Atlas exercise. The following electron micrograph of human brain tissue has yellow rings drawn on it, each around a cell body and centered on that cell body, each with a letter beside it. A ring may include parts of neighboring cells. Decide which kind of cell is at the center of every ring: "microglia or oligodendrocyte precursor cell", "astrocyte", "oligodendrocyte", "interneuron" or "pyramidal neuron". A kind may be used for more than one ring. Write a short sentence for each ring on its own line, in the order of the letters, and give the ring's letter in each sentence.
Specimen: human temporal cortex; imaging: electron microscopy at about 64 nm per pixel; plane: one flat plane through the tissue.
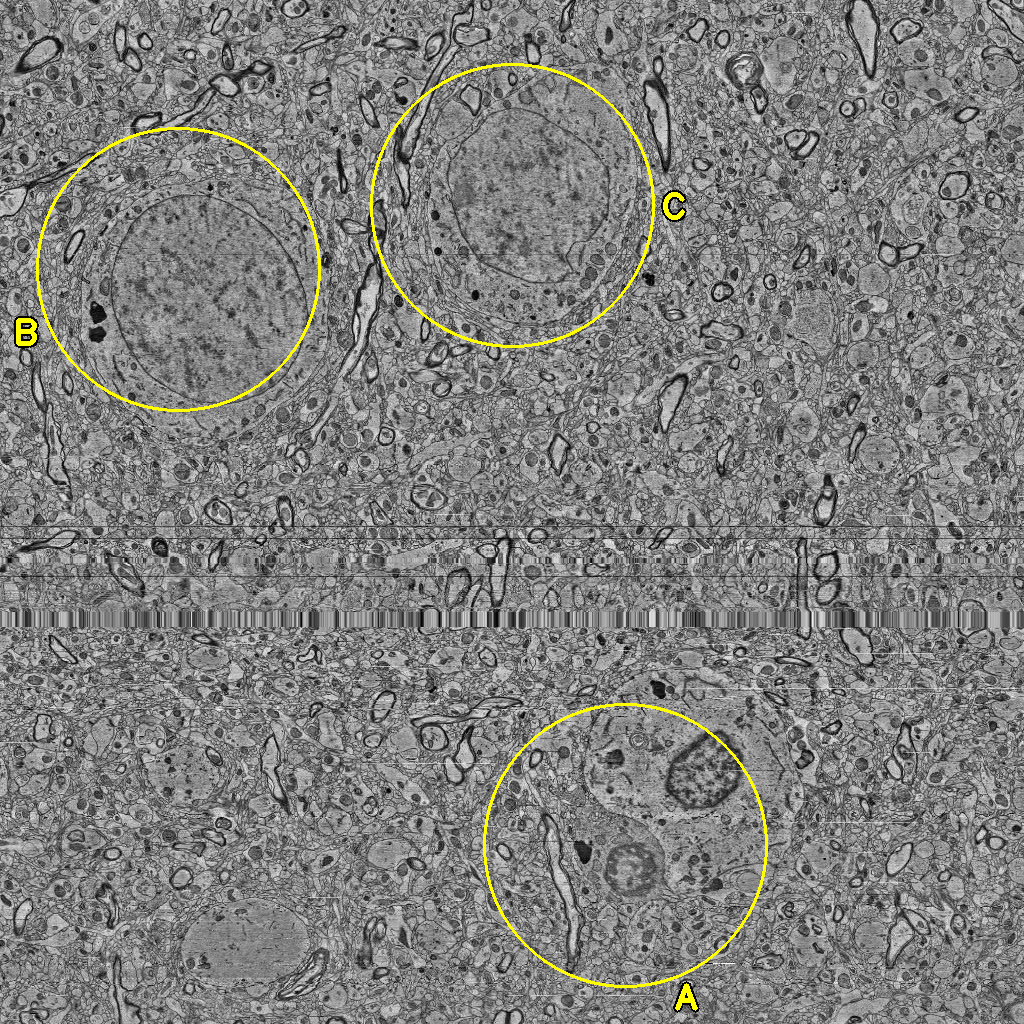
Ring A frames an oligodendrocyte at its center.
Ring B frames a pyramidal neuron at its center.
Ring C frames a pyramidal neuron at its center.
